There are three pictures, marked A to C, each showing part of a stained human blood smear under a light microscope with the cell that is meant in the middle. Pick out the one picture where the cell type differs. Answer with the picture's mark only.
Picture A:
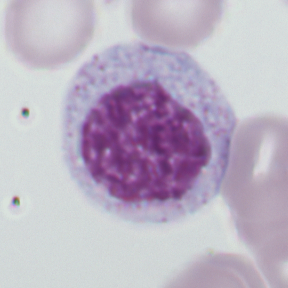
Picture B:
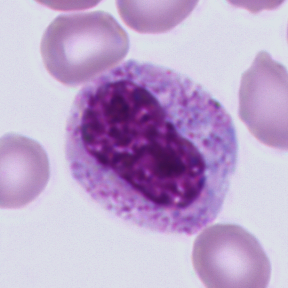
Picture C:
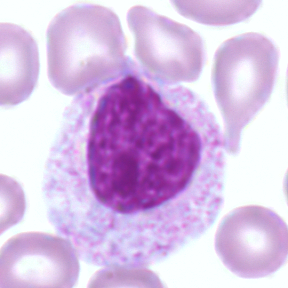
B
